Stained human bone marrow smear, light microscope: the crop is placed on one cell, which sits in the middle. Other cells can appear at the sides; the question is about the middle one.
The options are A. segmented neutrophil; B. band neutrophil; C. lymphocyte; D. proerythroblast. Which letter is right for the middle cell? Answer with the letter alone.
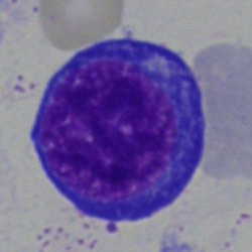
D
